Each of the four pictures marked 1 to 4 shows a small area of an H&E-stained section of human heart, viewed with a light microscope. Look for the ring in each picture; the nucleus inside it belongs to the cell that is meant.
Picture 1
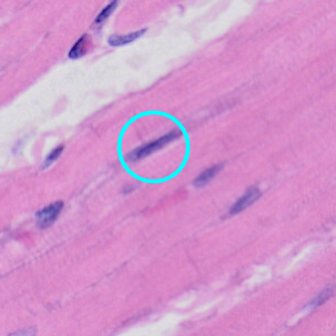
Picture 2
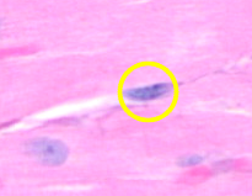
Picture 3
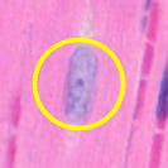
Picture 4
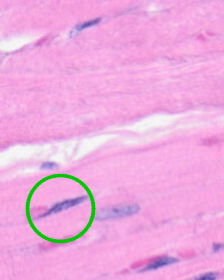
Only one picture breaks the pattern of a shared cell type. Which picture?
3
